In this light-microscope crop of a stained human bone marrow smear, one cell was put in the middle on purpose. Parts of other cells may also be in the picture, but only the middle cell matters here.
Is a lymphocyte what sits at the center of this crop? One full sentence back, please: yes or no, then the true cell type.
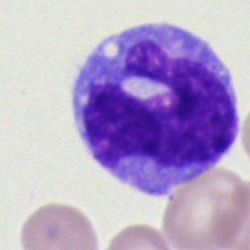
No, the central cell is designated a monocyte and not a lymphocyte.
